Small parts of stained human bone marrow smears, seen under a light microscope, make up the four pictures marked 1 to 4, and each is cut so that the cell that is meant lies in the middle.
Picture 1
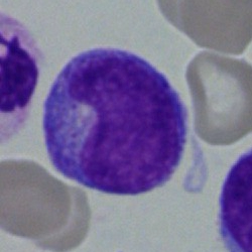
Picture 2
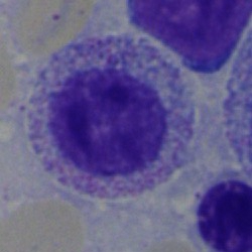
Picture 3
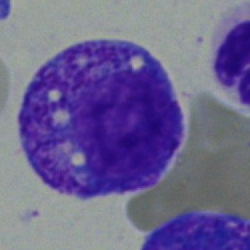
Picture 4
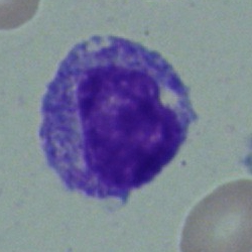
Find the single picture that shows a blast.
1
